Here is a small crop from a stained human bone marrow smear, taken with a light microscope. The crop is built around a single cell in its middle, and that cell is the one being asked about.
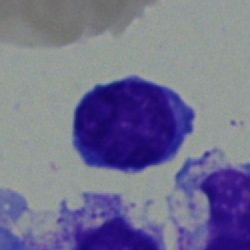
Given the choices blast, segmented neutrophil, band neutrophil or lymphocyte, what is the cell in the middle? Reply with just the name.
lymphocyte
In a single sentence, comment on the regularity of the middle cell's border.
The cell outline lacks smoothness, being ragged or extended into projections.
